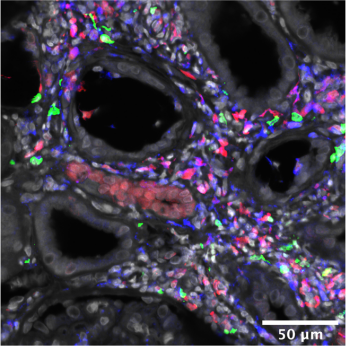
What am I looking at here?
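This is kidney tissue in which a few tubule cross-sections, with dark lumens and grey-nucleated epithelium, are separated by wide interstitial spaces. These spaces are packed with many small nucleated cells, giving a dense, speckled appearance. Among them are green-ringed cells, red-stained cells and blue-stained cells mixed together throughout the field rather than clustered in one spot. One tubule at the lower left shows red cytoplasmic staining of its epithelium.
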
